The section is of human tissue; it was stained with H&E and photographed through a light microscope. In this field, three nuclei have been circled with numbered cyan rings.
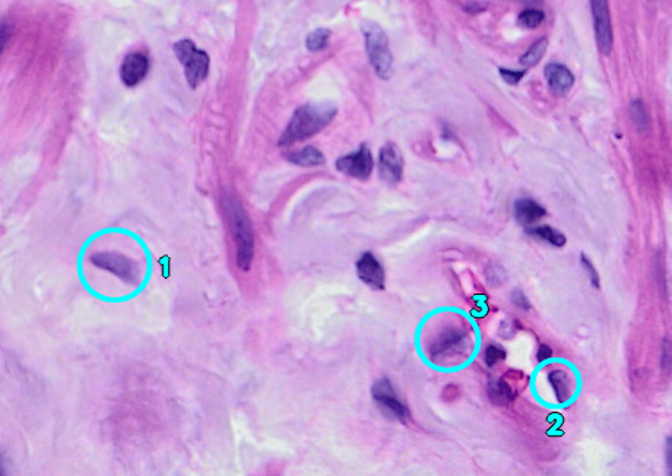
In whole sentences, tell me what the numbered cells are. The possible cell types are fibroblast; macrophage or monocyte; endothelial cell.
Cell 1 is a fibroblast. Cells 2 and 3 are endothelial cells.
